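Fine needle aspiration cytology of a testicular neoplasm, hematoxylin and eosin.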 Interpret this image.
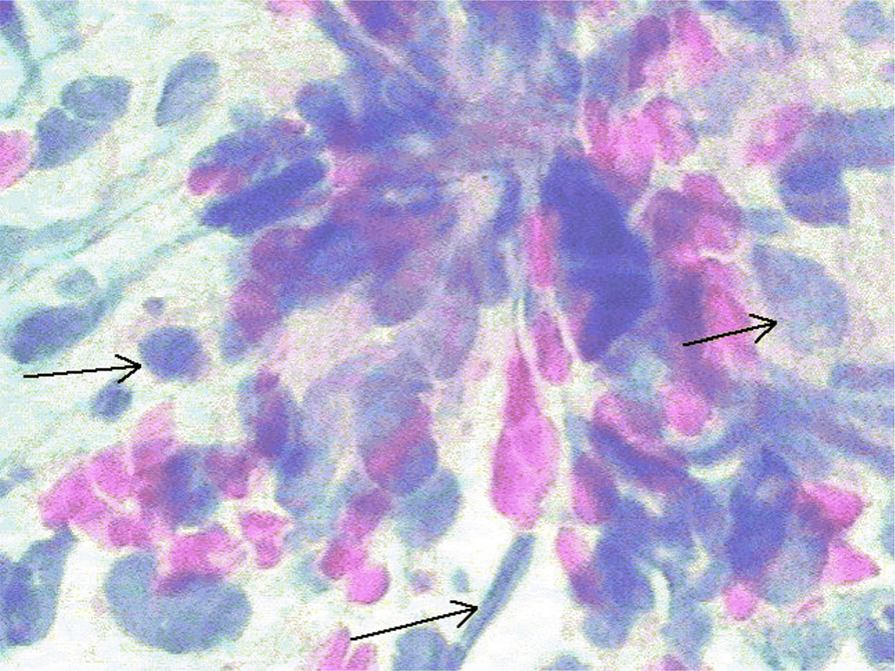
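Many cells are elongated and spindle-shaped with tapering ends, and others are short and plump or oval. The nuclei are blue-purple, vary in size and density, and some are large and dark. Cytoplasm ranges from pale lilac to bright pink, and some cells have strongly pink, drop-shaped bodies. The cells lie in a loose, pale grey-green background.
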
